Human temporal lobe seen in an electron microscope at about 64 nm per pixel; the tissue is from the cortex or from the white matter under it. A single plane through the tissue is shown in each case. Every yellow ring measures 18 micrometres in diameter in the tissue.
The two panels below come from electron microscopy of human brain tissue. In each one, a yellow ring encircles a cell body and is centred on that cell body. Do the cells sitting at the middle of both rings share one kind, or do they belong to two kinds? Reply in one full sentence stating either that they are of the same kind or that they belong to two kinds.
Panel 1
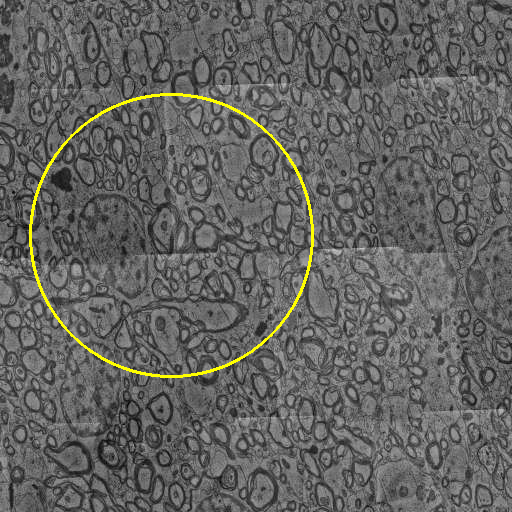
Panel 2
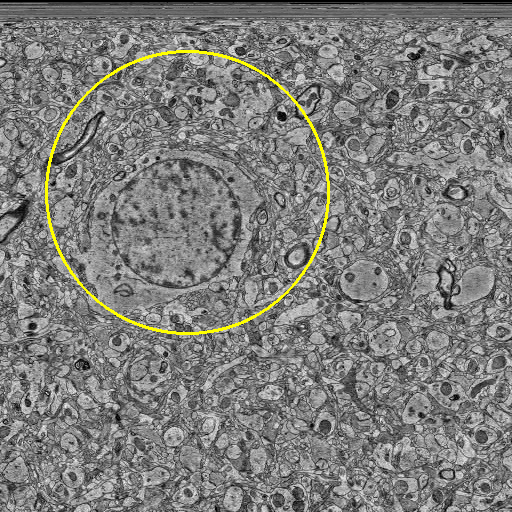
The cells at the centres of the two rings belong to two kinds.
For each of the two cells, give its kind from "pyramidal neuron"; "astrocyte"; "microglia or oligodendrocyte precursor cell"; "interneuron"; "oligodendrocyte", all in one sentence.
The first picture has an oligodendrocyte in its ring, the second has an astrocyte.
